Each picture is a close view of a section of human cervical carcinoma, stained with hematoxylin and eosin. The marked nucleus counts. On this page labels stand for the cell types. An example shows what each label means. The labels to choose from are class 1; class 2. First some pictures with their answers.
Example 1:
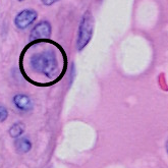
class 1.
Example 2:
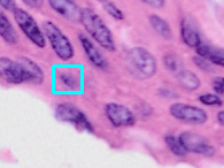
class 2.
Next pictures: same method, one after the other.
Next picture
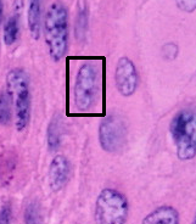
class 2.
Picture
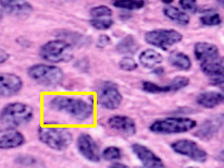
class 2.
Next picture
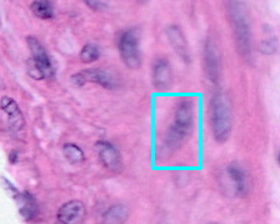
class 1.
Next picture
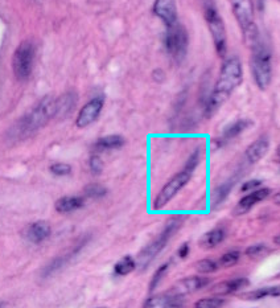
class 1.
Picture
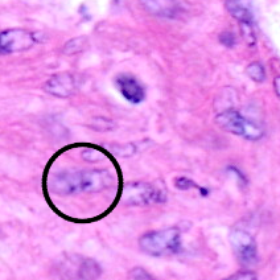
class 1.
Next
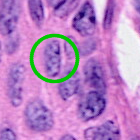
class 2.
